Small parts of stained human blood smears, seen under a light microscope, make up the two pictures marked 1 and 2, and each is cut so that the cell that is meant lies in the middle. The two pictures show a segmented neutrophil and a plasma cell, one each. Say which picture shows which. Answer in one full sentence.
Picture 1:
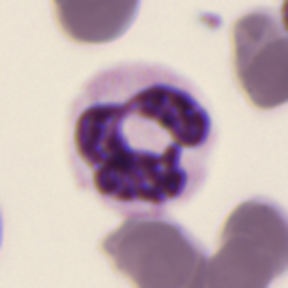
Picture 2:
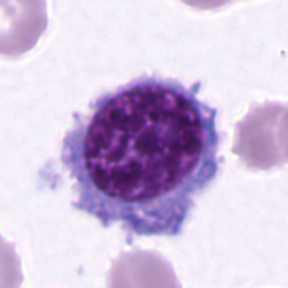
It is picture 1 that shows a segmented neutrophil, and picture 2 that shows a plasma cell.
